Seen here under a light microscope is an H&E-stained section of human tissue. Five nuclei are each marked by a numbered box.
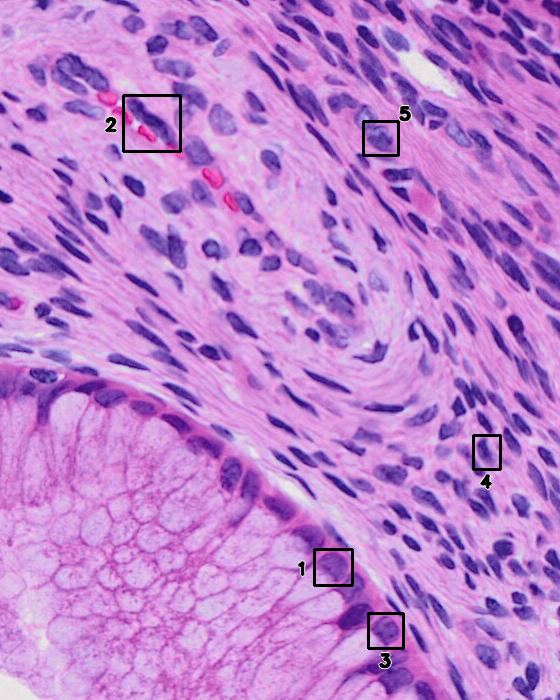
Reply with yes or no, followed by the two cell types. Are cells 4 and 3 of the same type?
No, cell 4 is a fibroblast and cell 3 is a secretory epithelial cell.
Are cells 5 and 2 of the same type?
Yes, both are endothelial cells.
